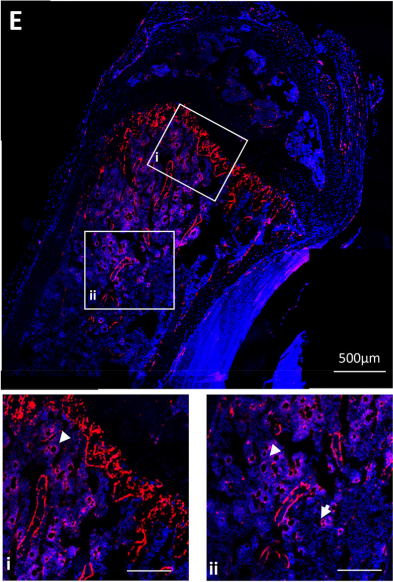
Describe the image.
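This is a low-power view of the end of a long bone, with blue nuclei throughout and a bright red region in the marrow beneath the cartilage. Red label outlines many branching trabeculae just below the growth plate, forming streaks and loops. The enlarged insets show marrow with many round cells and red rings surrounding small round spaces. The overlying cartilage and soft tissue at the top are largely blue and unlabelled.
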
